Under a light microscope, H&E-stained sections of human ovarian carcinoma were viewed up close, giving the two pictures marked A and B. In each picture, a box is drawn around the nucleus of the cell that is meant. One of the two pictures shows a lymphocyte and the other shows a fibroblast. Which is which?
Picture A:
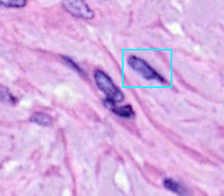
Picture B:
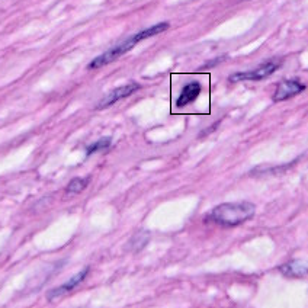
A: fibroblast
B: lymphocyte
